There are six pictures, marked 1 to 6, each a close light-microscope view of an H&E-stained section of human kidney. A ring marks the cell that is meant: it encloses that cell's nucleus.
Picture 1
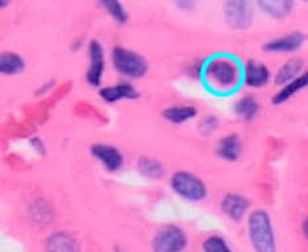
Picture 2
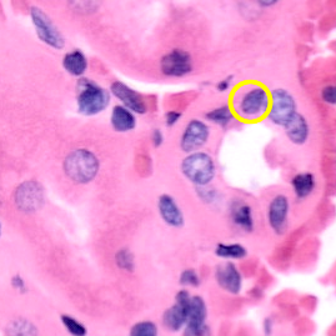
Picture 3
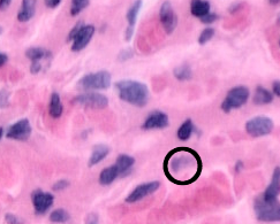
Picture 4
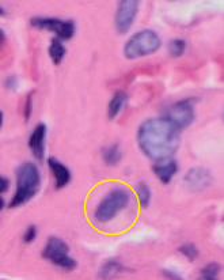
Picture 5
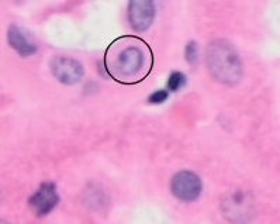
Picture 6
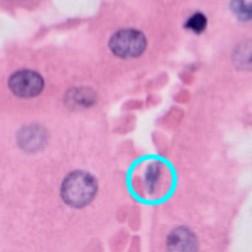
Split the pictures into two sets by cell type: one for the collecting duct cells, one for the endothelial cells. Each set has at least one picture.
1: collecting duct cell
2: collecting duct cell
3: endothelial cell
4: collecting duct cell
5: collecting duct cell
6: endothelial cell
